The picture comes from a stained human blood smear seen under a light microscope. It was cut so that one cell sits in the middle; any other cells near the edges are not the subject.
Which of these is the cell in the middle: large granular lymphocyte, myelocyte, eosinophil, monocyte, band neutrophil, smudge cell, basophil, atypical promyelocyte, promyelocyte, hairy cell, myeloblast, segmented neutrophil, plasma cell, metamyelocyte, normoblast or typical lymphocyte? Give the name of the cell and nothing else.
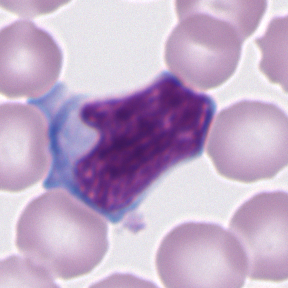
typical lymphocyte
